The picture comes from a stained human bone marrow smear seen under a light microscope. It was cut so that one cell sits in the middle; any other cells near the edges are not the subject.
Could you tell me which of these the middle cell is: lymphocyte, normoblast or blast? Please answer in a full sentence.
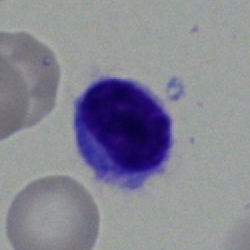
The cell marked by its central position in the crop is a lymphocyte.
